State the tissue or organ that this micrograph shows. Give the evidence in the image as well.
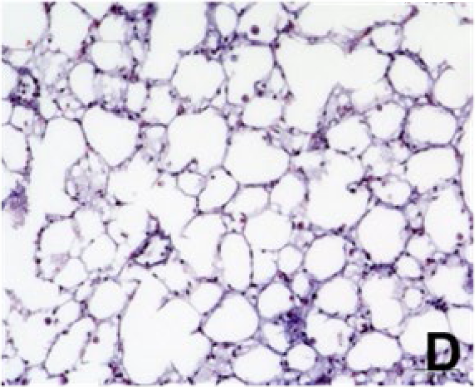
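A lace-like network of thin walls around many clear air spaces. Purple nuclei scattered along the thin walls.
Lung.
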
